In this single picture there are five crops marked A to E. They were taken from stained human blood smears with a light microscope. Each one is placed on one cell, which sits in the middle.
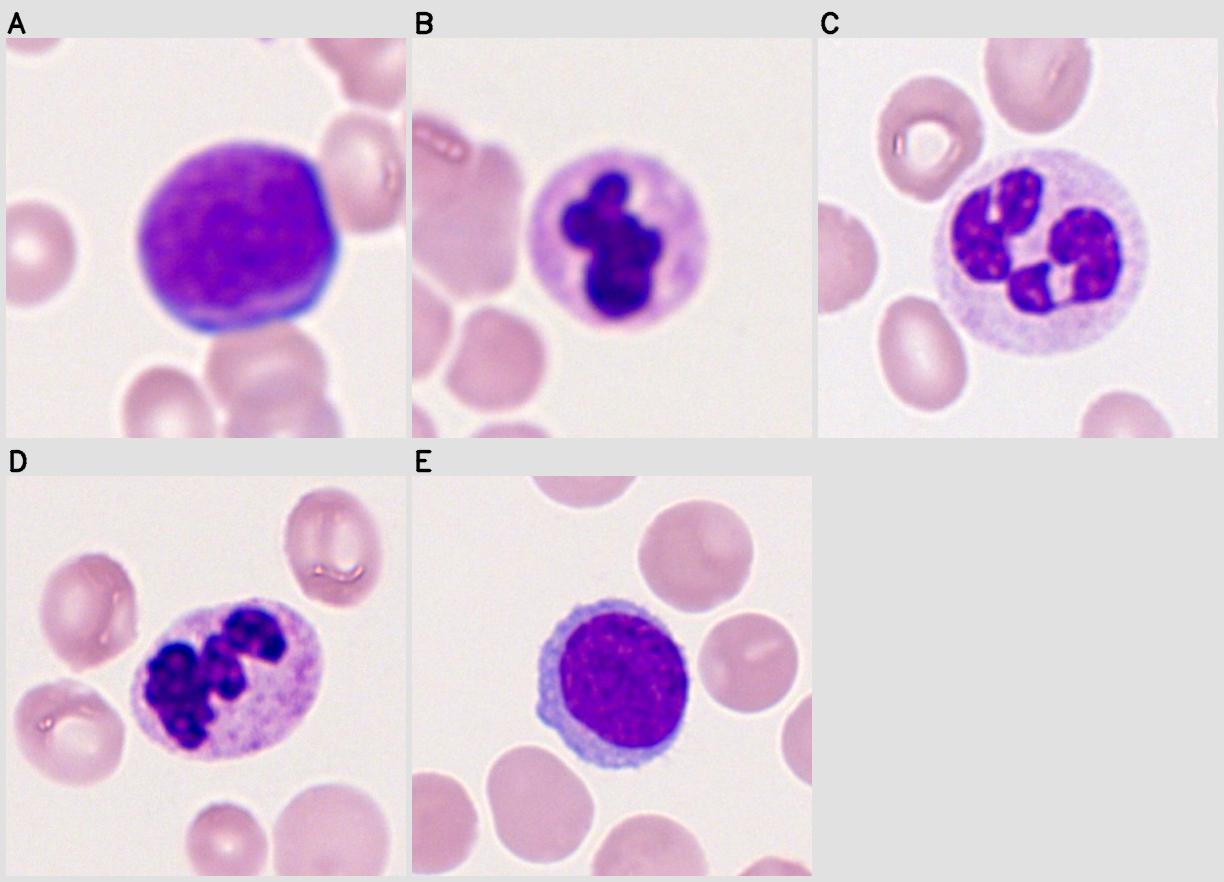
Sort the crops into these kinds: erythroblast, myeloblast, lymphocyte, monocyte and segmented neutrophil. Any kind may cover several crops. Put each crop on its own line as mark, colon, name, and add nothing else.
A: myeloblast
B: segmented neutrophil
C: segmented neutrophil
D: segmented neutrophil
E: lymphocyte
